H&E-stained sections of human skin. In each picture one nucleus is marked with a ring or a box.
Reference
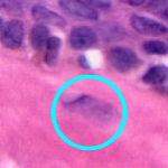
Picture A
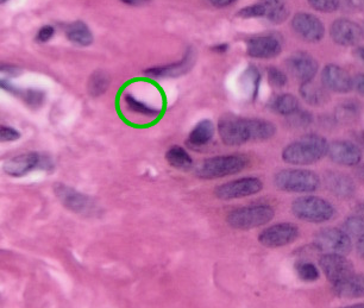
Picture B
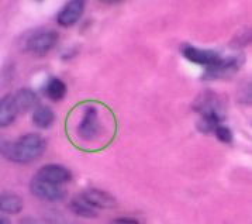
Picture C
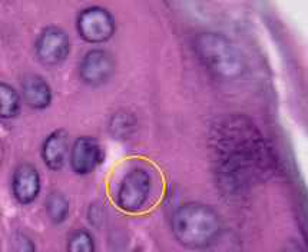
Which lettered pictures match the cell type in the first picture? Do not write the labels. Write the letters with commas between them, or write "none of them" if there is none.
A, B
